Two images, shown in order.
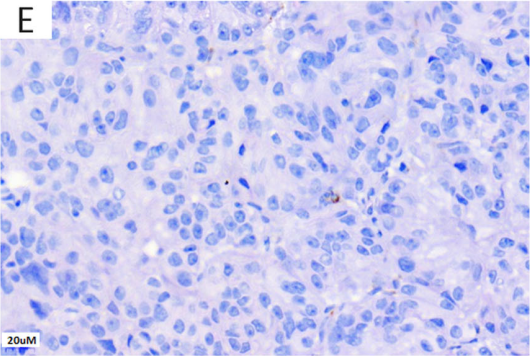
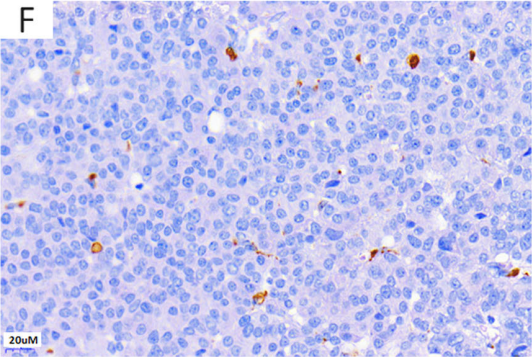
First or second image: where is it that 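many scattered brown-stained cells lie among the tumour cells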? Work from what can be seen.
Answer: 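The second image. Second image: numerous dark brown cells are scattered across the field. First image: almost no brown-stained cells are seen.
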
